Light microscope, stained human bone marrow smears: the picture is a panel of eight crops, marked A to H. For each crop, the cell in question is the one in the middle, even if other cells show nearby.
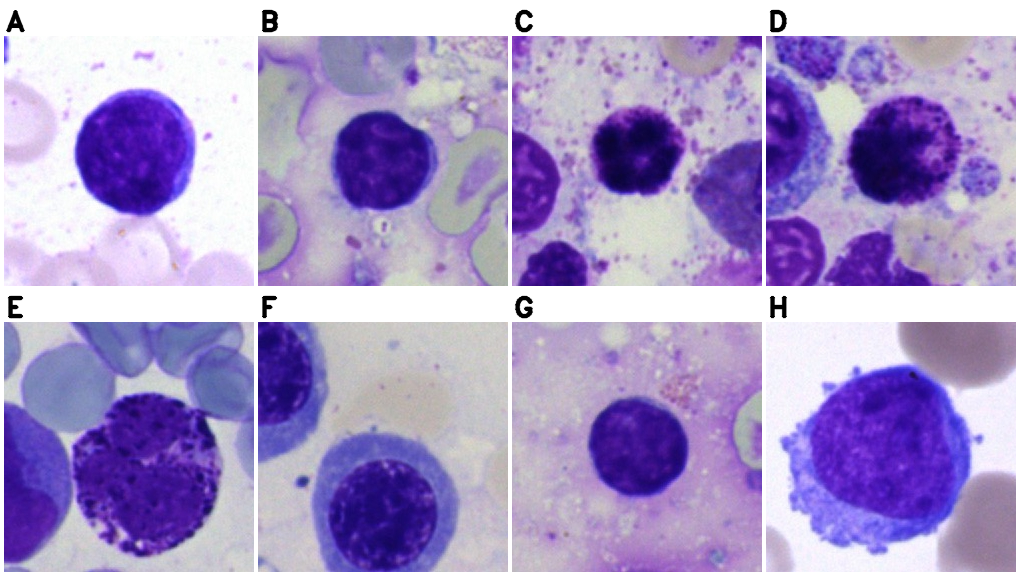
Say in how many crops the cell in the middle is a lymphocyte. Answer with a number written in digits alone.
2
